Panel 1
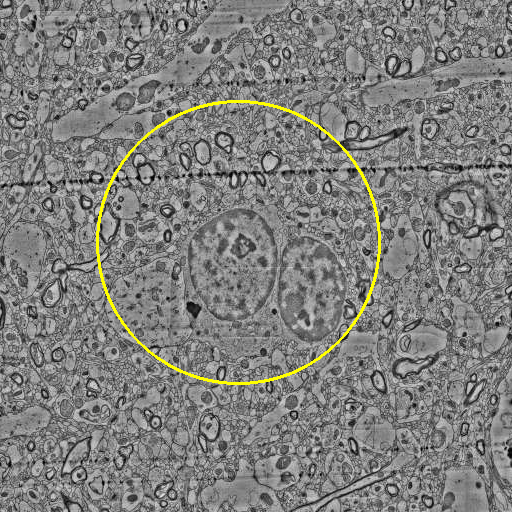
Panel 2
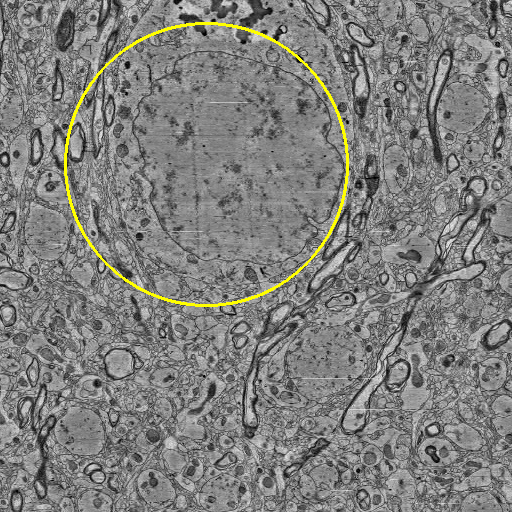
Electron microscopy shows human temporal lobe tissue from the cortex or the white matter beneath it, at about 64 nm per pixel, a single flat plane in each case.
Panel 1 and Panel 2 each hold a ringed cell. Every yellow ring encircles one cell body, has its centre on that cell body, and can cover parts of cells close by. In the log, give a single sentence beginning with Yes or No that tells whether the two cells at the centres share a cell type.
No, in Panel 1 and Panel 2 the centred cells are of two cell types.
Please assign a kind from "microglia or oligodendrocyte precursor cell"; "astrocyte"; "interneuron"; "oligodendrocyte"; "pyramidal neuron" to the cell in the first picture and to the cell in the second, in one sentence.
In the first picture we have an oligodendrocyte, and in the second, a pyramidal neuron.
